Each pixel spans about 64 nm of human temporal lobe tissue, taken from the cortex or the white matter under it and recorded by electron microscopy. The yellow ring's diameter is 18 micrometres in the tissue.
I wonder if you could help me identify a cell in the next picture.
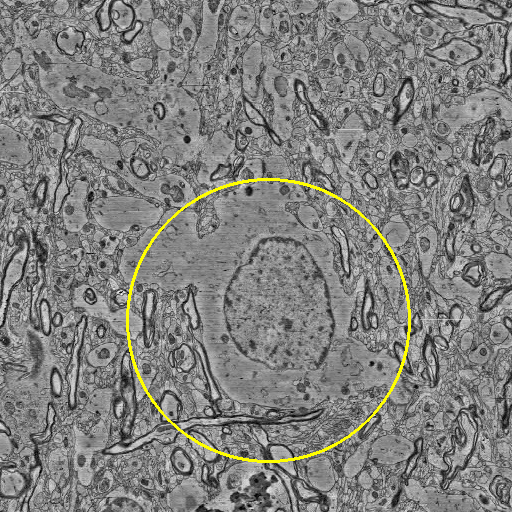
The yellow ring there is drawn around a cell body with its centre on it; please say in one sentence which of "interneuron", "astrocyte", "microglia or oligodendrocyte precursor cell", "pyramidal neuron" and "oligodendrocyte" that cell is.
The yellow ring is centred on an astrocyte.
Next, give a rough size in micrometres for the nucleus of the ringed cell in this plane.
About 9 by 7 micrometers for the nucleus, in this plane.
